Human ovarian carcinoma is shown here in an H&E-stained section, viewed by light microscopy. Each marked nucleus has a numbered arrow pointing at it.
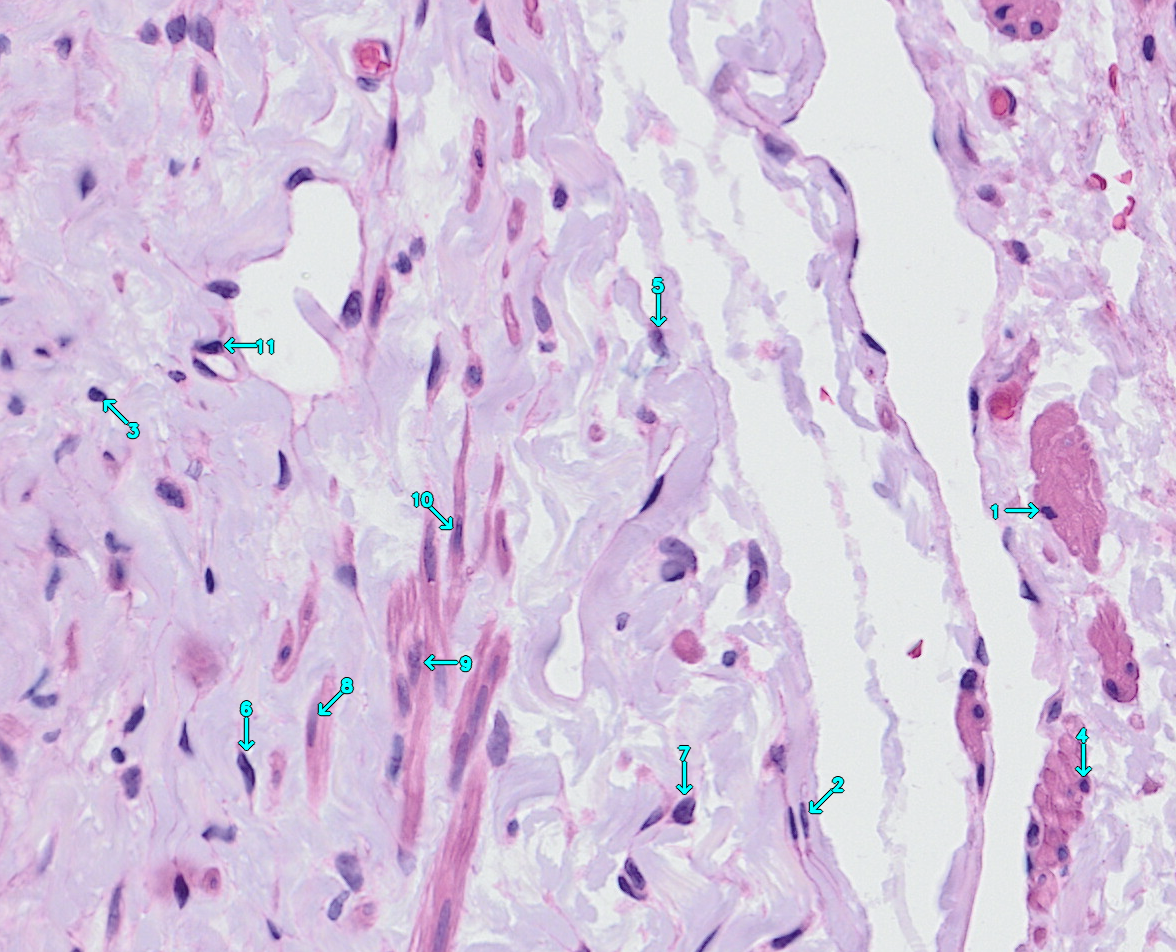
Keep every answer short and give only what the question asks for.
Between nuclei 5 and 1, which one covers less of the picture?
1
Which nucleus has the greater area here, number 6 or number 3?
6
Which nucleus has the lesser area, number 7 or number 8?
8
